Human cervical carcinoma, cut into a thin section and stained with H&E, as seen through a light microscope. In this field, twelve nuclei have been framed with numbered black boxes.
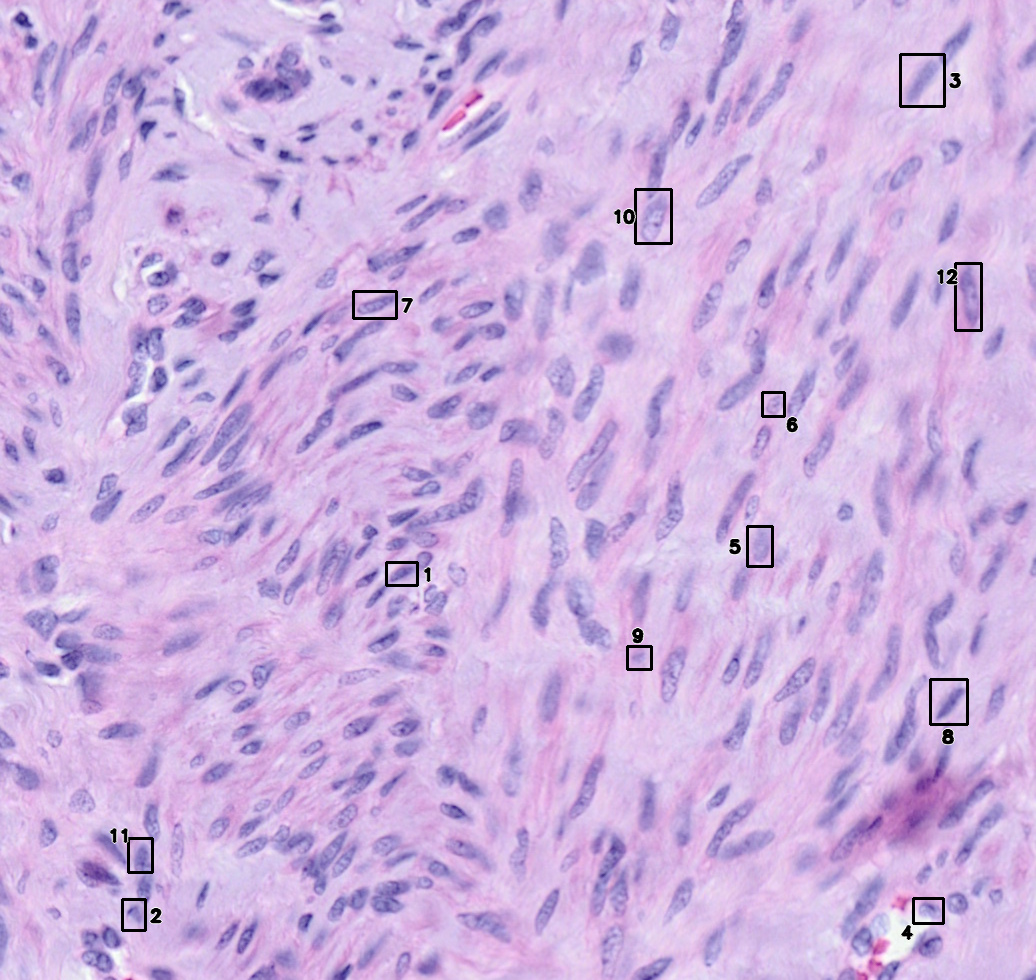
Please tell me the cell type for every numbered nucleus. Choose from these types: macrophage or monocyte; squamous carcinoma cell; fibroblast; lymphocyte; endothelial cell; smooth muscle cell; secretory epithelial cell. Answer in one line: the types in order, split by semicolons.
smooth muscle cell; fibroblast; fibroblast; endothelial cell; smooth muscle cell; smooth muscle cell; smooth muscle cell; fibroblast; smooth muscle cell; smooth muscle cell; fibroblast; smooth muscle cell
